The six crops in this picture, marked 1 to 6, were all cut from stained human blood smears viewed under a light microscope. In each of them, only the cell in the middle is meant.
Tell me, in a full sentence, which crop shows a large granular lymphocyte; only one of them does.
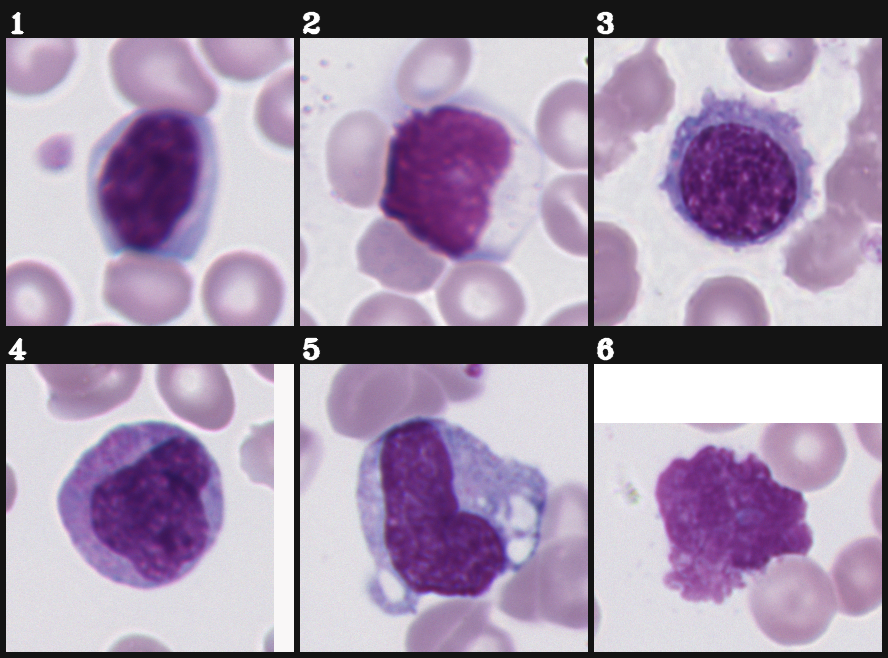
Crop 2 is the crop that displays a large granular lymphocyte.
